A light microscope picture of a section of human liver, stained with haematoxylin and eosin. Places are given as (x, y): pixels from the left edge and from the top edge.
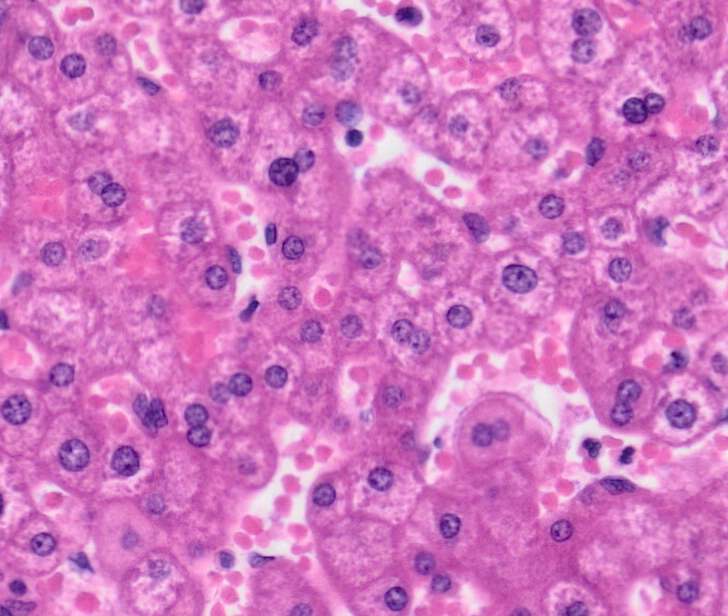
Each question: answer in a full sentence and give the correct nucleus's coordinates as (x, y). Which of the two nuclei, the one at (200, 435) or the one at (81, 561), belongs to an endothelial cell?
The nucleus at (81, 561) is part of an endothelial cell, while the other is not.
